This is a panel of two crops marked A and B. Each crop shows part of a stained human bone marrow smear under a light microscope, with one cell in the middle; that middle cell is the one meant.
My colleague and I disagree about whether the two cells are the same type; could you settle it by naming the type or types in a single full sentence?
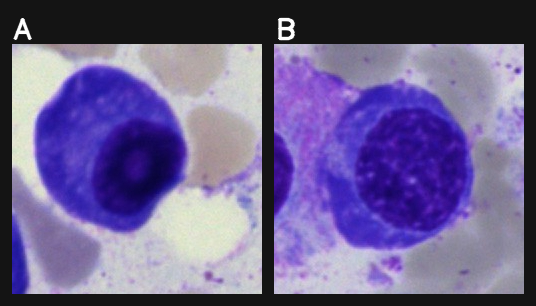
Yes, what both crops show at their centres are plasma cells.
